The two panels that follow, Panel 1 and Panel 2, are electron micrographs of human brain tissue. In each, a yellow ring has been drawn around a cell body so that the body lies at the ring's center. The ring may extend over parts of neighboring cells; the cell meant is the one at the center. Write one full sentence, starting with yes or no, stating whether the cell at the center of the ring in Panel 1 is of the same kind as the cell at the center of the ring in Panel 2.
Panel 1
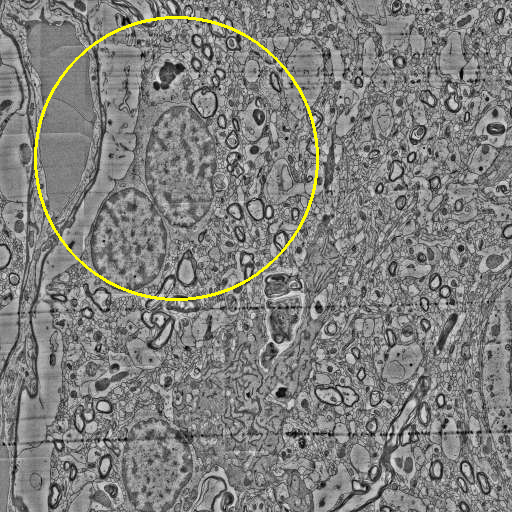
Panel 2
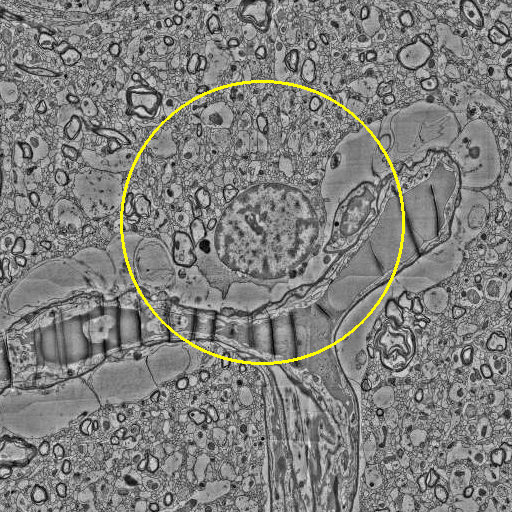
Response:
Yes, the cells in both panels are of the same kind.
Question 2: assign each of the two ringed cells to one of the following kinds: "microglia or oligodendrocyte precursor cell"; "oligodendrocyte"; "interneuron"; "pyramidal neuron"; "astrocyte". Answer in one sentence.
Each cell, in the first picture and the second, is an oligodendrocyte.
